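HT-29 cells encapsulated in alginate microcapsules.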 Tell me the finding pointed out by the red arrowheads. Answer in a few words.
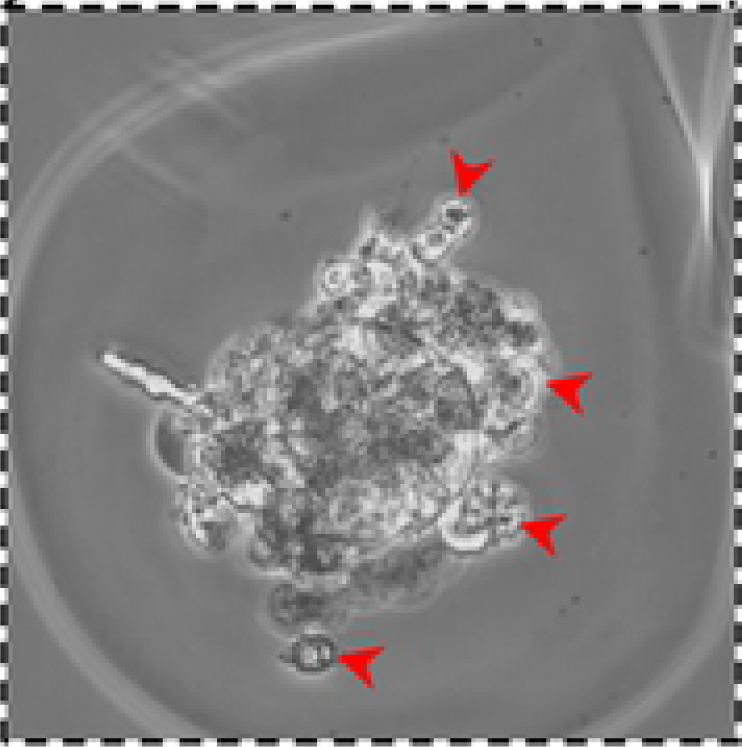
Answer: cells/spheroids individualizing inside the capsule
